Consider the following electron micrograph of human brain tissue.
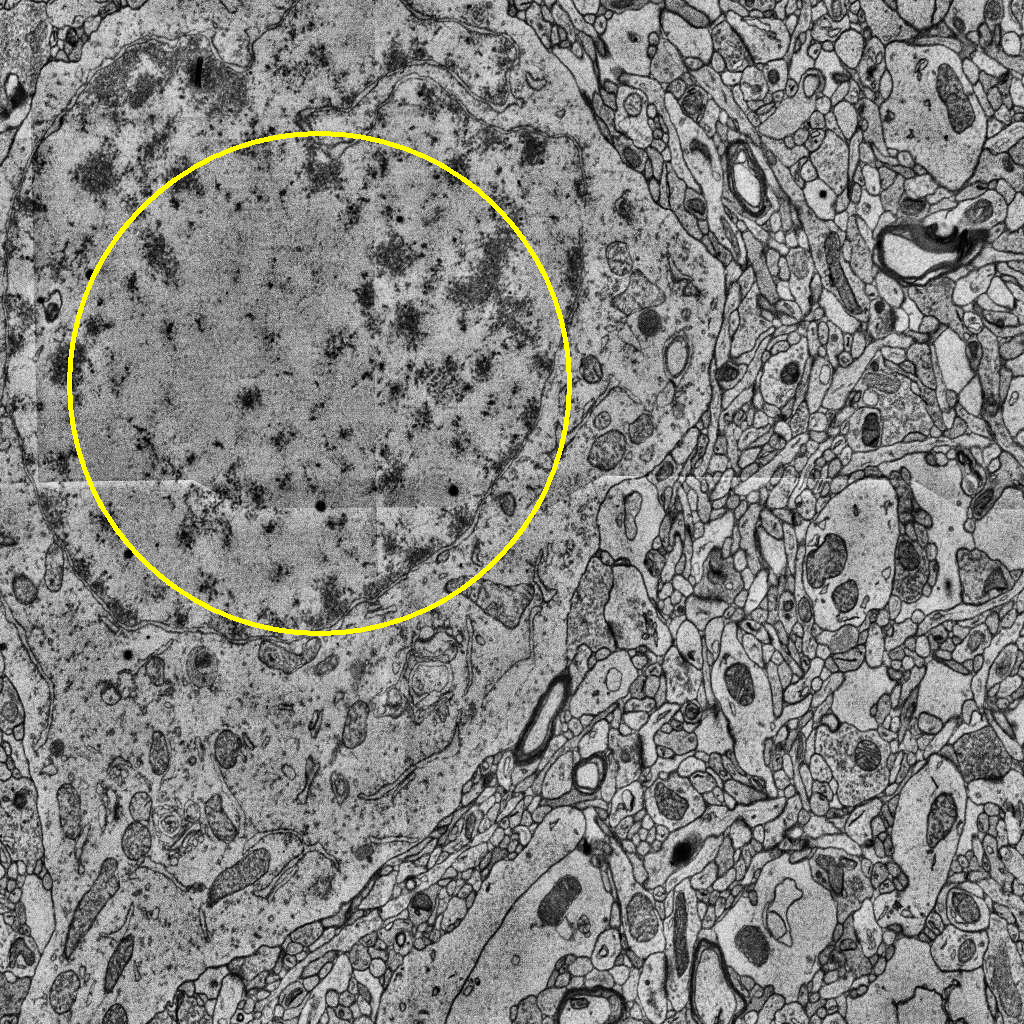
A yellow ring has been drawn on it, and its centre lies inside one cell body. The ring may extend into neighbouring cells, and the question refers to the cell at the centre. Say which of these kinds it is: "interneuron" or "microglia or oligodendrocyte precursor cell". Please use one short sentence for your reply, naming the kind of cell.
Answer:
The centre of the ring falls on an interneuron.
